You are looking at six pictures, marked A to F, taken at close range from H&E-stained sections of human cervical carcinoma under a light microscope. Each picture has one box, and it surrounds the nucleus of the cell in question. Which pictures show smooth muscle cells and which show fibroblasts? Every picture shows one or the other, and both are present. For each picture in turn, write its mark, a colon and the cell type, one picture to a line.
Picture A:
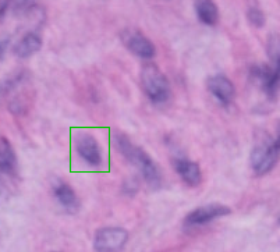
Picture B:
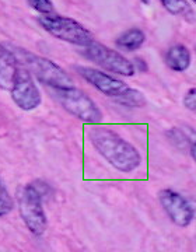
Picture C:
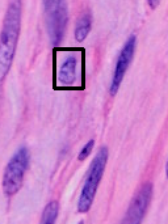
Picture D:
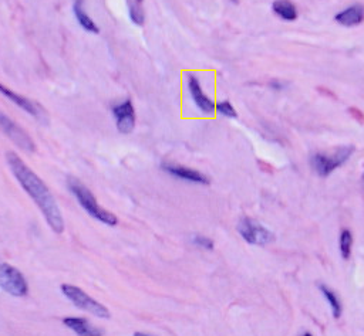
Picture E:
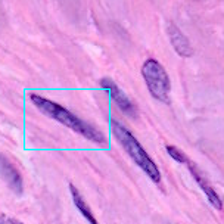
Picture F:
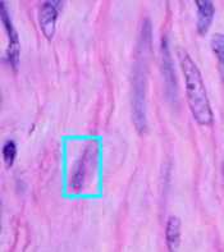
A: smooth muscle cell
B: smooth muscle cell
C: smooth muscle cell
D: fibroblast
E: fibroblast
F: smooth muscle cell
